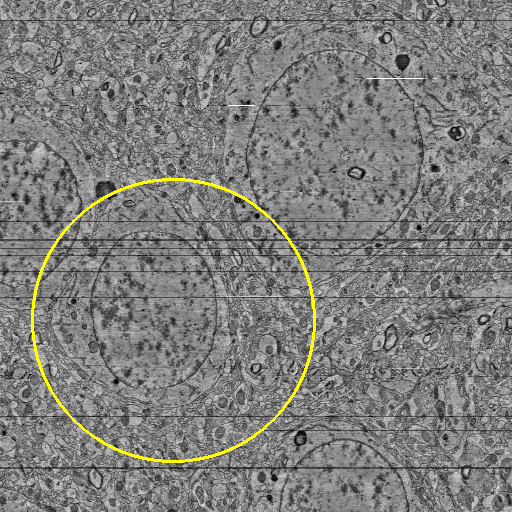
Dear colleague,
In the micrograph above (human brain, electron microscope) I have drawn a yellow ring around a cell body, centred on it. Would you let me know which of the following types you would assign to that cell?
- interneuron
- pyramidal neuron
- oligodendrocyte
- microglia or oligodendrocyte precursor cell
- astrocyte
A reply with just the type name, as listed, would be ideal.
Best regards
pyramidal neuron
